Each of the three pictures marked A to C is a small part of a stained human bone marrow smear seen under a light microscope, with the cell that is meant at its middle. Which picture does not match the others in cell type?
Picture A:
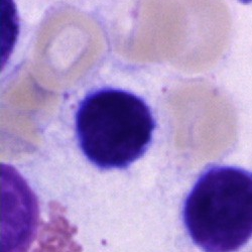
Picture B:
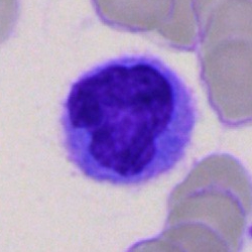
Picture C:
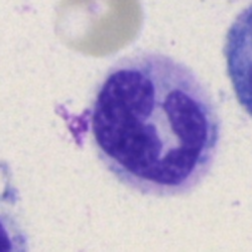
A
